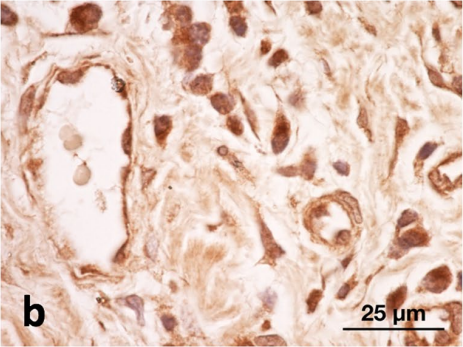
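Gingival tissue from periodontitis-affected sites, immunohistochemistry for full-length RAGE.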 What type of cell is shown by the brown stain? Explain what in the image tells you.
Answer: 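Endothelial and inflammatory cells. A vessel lumen with a few round red cell profiles is lined by thin brown-stained cells. Many scattered rounded brown-stained cells lie in the surrounding loose fibrous tissue.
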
